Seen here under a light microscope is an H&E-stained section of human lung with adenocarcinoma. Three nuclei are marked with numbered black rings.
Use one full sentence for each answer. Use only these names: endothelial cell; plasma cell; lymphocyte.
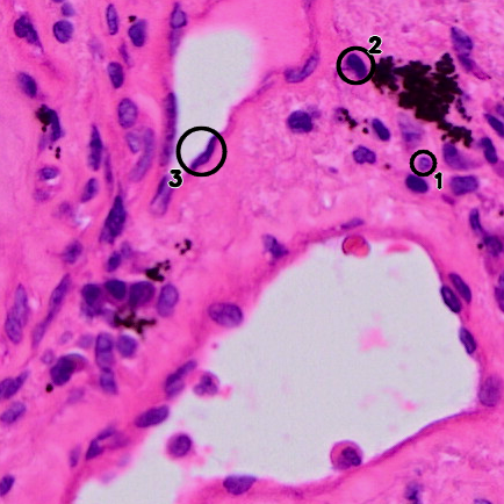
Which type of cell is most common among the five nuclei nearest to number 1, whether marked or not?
Plasma cells account for more than half of the five nuclei nearest to number 1.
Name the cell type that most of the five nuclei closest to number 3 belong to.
The majority of the five nuclei closest to number 3 belong to endothelial cells.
